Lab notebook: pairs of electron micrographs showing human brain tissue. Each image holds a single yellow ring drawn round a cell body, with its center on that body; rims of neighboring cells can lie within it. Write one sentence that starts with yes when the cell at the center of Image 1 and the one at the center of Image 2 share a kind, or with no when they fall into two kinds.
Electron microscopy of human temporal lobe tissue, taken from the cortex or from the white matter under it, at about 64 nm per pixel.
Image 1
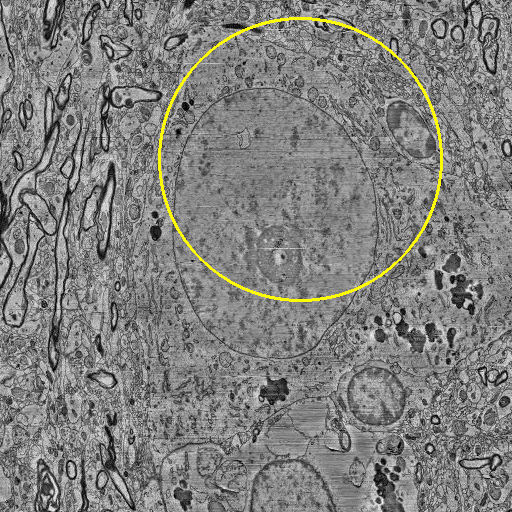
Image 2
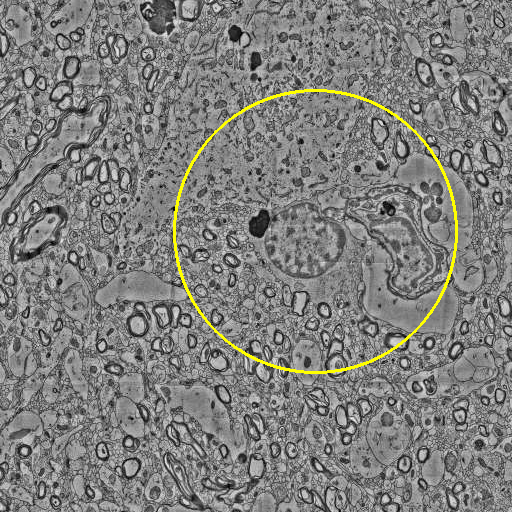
No, the centered cell in Image 1 and the centered cell in Image 2 are of two kinds.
